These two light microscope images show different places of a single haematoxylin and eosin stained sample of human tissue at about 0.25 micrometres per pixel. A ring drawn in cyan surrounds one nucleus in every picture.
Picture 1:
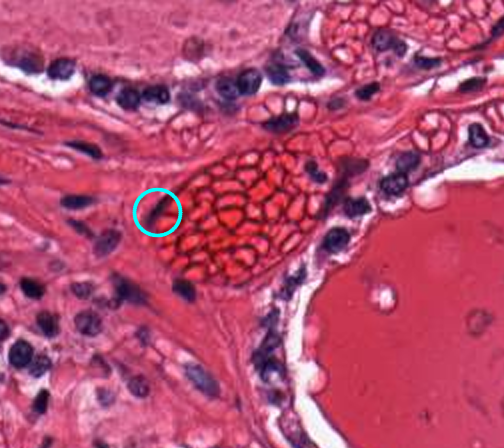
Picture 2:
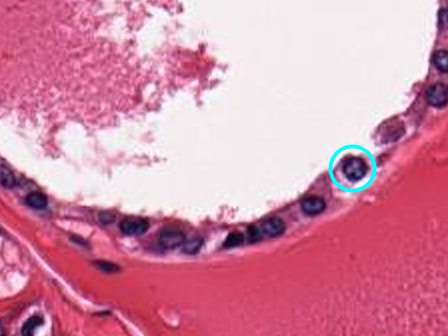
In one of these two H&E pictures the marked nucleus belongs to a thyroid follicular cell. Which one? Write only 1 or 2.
2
